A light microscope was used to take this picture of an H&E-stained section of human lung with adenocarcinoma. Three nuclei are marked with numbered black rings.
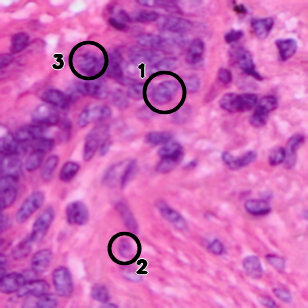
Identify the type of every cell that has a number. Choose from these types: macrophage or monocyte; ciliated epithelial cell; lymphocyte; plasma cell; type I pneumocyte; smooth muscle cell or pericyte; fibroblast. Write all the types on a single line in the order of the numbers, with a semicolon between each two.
ciliated epithelial cell; smooth muscle cell or pericyte; ciliated epithelial cell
